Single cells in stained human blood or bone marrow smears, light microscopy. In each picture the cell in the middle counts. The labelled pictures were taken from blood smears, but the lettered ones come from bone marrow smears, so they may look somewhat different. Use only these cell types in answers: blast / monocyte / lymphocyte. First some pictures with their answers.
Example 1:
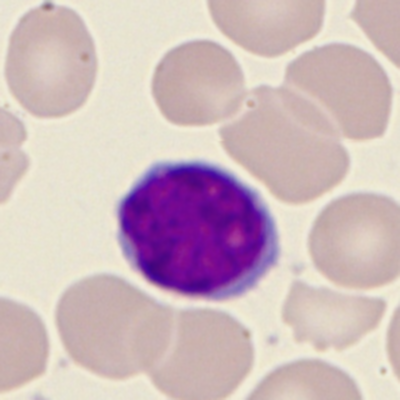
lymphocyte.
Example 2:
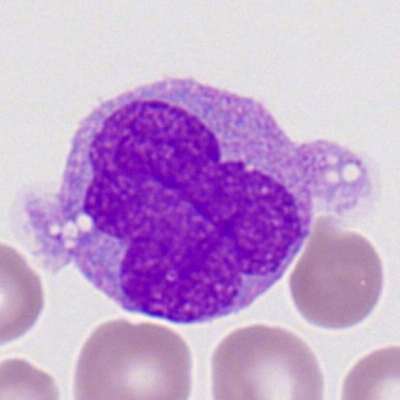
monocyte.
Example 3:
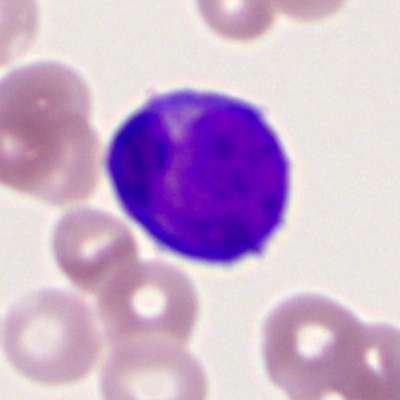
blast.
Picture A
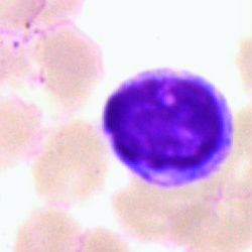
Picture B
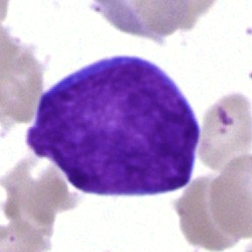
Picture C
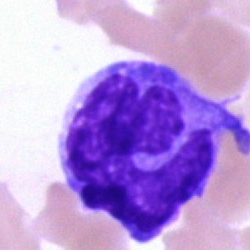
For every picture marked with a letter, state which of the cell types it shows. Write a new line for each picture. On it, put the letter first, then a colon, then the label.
A: lymphocyte.
B: blast.
C: monocyte.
